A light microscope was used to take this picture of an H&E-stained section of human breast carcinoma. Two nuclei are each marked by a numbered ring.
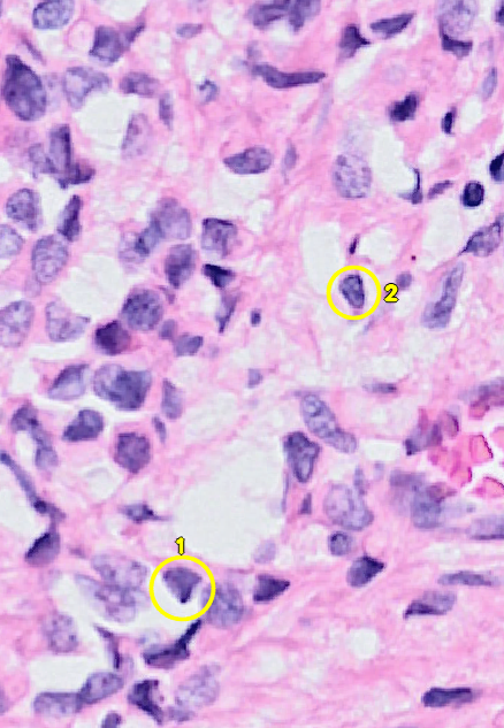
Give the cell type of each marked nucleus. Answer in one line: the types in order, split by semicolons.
carcinoma cell; lymphocyte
